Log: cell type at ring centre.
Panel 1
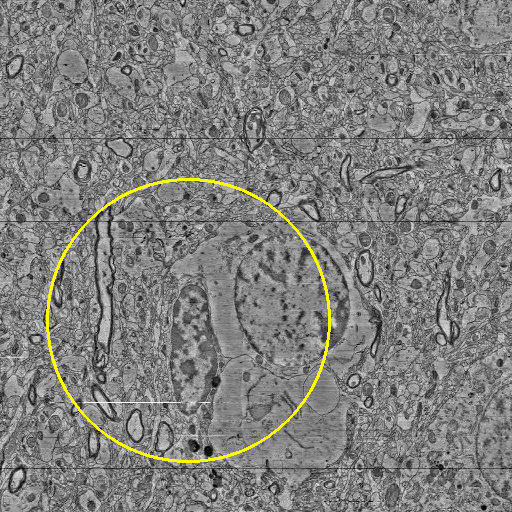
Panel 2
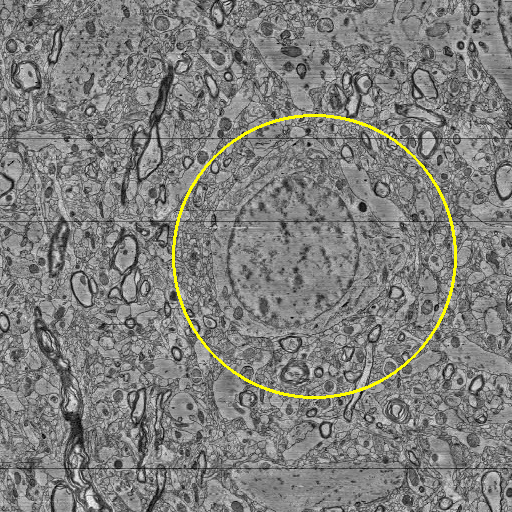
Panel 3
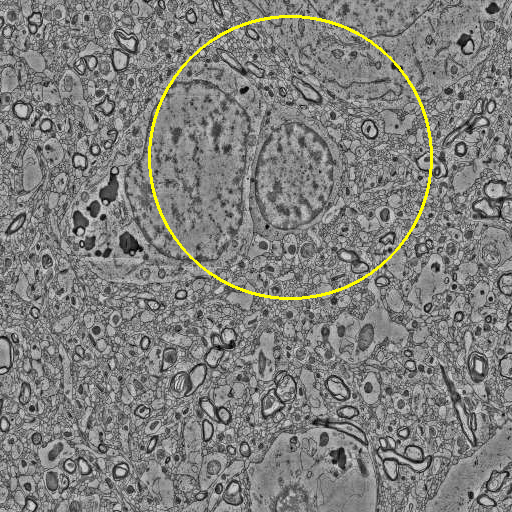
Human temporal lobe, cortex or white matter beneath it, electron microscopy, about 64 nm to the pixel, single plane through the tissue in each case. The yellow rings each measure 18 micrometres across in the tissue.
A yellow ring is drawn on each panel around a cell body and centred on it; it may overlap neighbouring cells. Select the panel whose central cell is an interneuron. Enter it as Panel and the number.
Panel 2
